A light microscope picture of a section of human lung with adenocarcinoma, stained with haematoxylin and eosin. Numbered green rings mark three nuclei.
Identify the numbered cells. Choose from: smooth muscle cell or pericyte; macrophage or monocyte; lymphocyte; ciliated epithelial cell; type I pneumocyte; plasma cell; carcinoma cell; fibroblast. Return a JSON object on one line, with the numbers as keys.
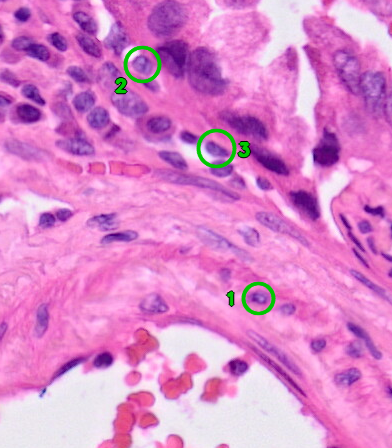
{"1": "smooth muscle cell or pericyte", "2": "lymphocyte", "3": "lymphocyte"}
